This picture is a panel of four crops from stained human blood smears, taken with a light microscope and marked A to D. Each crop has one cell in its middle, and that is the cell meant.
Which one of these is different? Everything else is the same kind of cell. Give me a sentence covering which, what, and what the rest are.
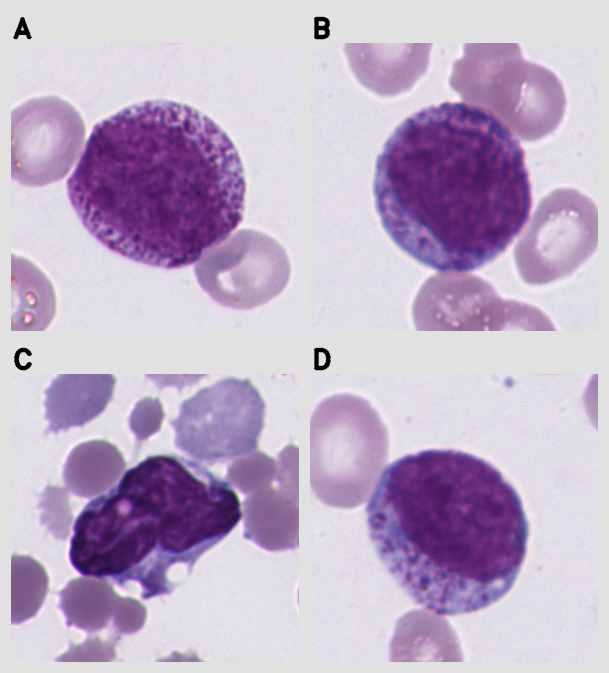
All of the other crops show promyelocytes, while crop C shows a monocyte instead.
